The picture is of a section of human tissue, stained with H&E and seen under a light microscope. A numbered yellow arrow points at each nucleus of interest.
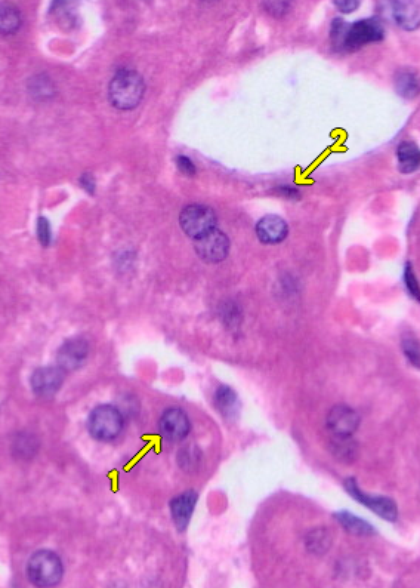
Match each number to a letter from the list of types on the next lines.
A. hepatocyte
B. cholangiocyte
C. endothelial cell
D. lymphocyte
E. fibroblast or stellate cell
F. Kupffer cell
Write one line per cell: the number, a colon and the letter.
1: A
2: E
